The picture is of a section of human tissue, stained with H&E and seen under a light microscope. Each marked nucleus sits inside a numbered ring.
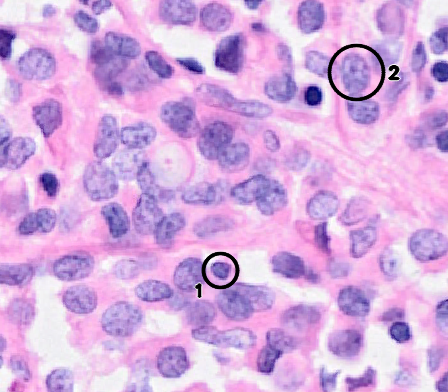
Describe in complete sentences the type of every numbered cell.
Cell 1 is a lymphocyte and cell 2 is a carcinoma cell.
